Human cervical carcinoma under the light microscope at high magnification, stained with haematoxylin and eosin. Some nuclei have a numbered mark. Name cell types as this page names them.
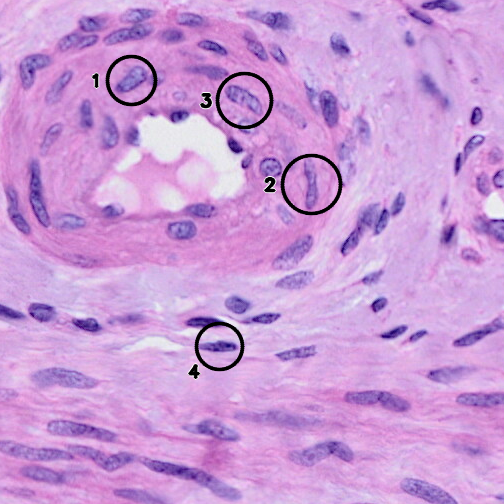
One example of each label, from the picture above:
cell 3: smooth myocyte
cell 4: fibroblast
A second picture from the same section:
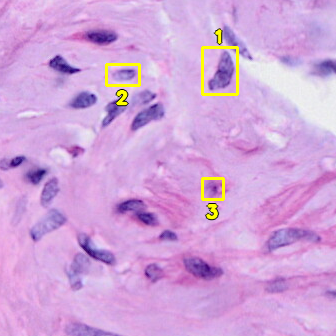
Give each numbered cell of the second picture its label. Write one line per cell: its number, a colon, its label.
1: fibroblast
2: fibroblast
3: smooth myocyte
